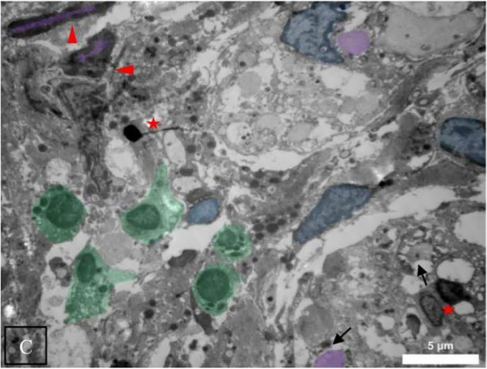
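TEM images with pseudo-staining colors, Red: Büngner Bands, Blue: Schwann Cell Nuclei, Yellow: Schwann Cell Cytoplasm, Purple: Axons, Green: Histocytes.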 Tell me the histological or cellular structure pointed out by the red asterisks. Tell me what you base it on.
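Myelin fragments. The red asterisks lie beside small, intensely electron-dense irregular bodies.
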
